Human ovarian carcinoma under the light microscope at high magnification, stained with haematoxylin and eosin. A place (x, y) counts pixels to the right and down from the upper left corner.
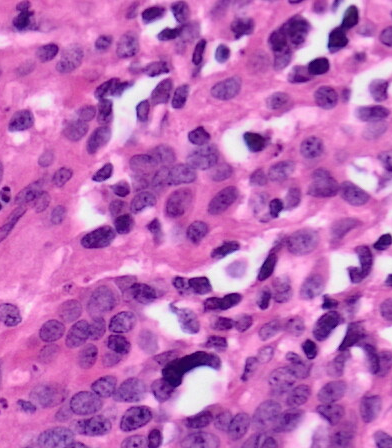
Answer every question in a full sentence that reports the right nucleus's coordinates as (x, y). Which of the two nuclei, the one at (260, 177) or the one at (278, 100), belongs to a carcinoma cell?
It is the nucleus at (260, 177) that forms part of a carcinoma cell.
